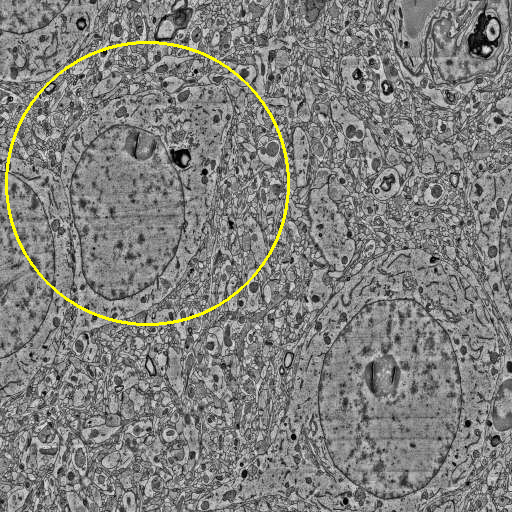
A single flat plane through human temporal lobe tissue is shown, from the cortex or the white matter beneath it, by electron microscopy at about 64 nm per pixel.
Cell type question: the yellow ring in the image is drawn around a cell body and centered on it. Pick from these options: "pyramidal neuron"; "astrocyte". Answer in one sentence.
The ringed cell at the center is a pyramidal neuron.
